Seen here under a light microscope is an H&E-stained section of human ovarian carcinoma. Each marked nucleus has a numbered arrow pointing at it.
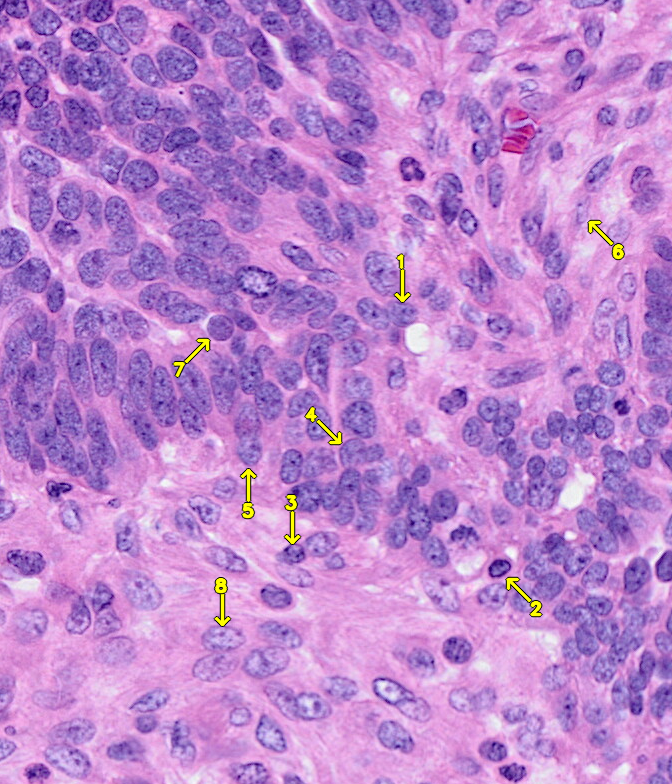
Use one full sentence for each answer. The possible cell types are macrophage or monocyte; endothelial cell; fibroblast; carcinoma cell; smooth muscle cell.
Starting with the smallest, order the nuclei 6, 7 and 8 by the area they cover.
The order from the smallest nucleus to the largest is 6, 7, 8.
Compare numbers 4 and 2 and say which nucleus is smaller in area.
Nucleus 2 is the smaller one; nucleus 4 covers about 1.5 times its area.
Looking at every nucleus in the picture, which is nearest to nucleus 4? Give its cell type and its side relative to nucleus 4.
The closest nucleus belongs to a carcinoma cell and sits to the right of nucleus 4.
